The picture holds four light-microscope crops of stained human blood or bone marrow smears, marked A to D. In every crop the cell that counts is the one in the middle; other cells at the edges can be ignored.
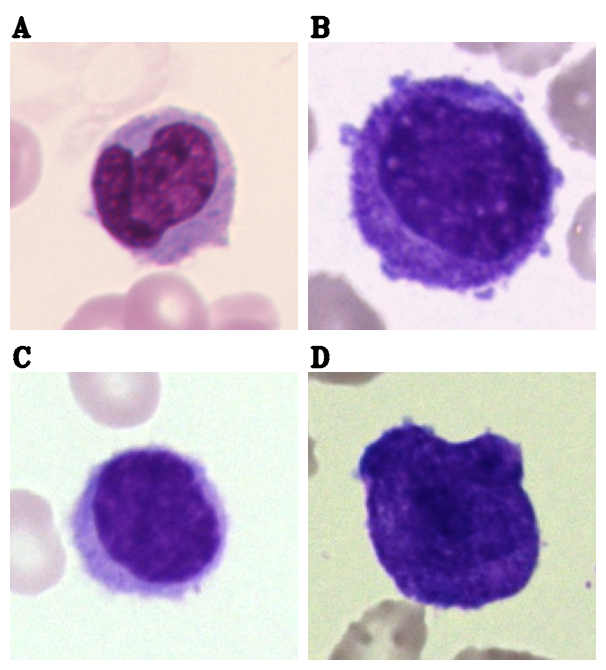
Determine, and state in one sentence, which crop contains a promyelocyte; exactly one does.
Here the crop that shows a promyelocyte is crop B.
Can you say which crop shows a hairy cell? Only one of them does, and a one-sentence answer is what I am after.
Of all the crops, crop C is the one showing a hairy cell.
